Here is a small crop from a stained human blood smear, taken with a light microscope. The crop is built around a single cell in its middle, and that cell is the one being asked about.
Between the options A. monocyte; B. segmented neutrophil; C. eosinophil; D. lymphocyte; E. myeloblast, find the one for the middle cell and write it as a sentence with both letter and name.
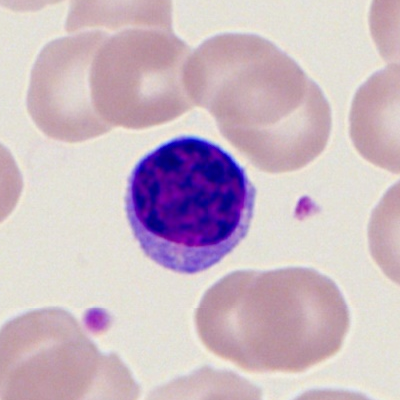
Option D is correct, naming the cell in the middle as a lymphocyte.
